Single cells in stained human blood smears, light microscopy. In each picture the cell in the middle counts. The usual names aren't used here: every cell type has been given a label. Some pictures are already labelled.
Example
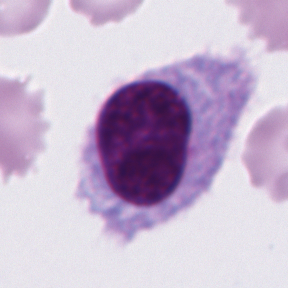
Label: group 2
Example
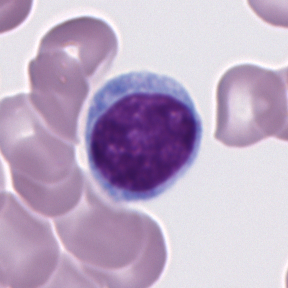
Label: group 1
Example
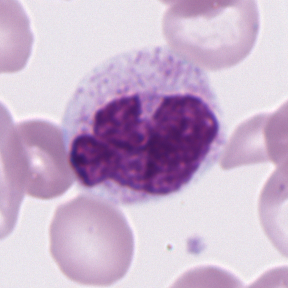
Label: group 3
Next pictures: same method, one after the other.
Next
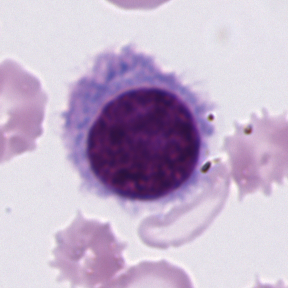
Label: group 2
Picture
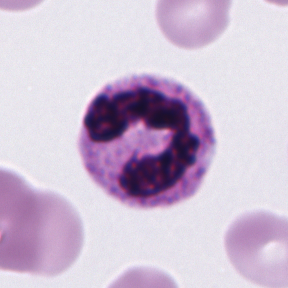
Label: group 3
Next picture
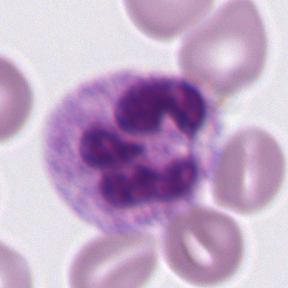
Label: group 3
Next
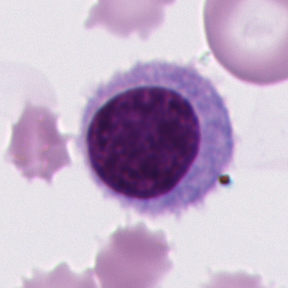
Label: group 2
